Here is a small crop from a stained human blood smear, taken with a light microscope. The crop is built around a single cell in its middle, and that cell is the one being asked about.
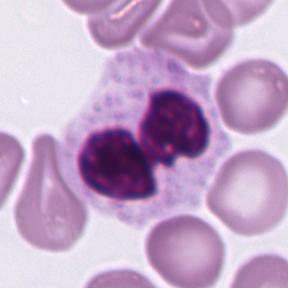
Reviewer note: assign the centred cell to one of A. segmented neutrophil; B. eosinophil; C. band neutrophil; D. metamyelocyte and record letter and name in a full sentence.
The cell at the centre, correctly named in option A, is a segmented neutrophil.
